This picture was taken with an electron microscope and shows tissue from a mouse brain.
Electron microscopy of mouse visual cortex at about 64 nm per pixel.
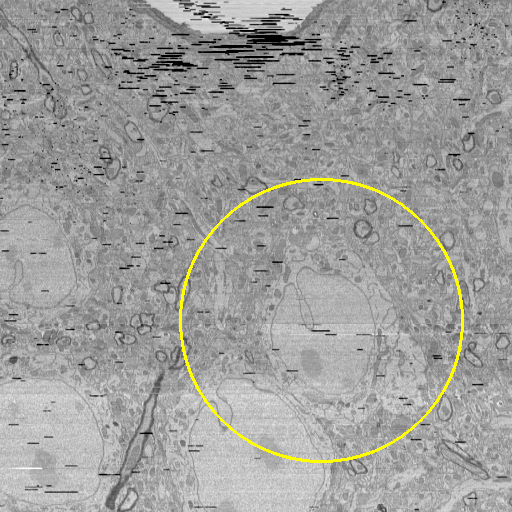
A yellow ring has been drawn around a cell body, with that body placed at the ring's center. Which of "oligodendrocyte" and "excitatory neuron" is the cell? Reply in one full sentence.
In this picture, an excitatory neuron is the cell at the center of the yellow ring.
